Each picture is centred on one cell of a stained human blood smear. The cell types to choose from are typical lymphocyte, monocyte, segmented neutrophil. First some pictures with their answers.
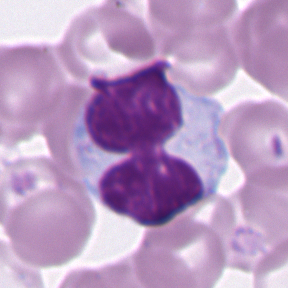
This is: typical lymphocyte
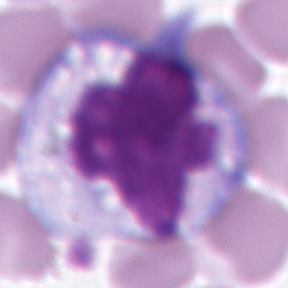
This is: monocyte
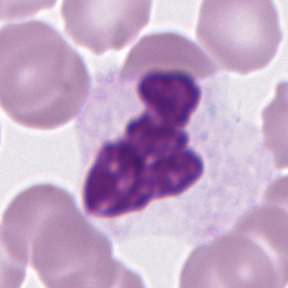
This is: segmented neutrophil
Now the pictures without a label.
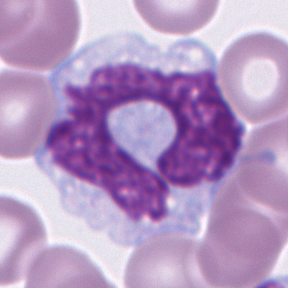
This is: monocyte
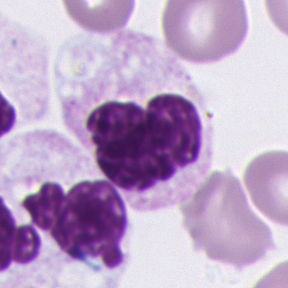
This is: segmented neutrophil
